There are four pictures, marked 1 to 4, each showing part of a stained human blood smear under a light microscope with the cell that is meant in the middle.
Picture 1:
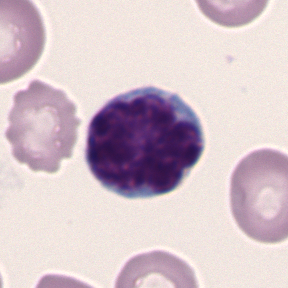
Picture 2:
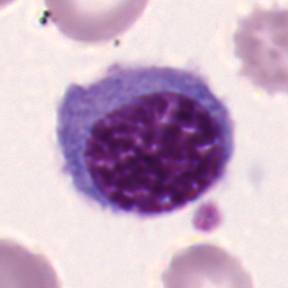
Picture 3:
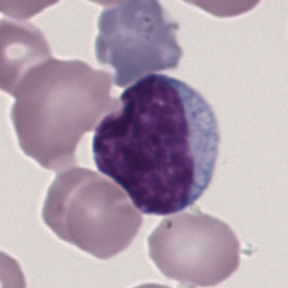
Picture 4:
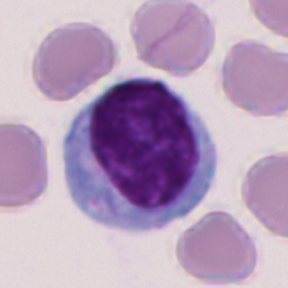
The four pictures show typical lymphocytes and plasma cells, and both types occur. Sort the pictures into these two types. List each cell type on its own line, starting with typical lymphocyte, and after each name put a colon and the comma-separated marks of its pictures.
typical lymphocyte: 1, 3
plasma cell: 2, 4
